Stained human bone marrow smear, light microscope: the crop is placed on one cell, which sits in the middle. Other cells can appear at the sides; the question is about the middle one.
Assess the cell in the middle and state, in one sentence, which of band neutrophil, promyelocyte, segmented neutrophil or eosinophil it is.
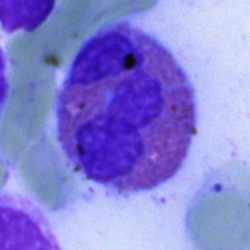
Of the cells in this crop, the central one is an eosinophil.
